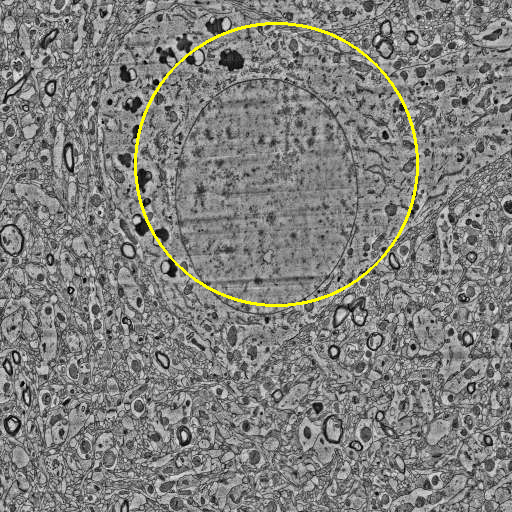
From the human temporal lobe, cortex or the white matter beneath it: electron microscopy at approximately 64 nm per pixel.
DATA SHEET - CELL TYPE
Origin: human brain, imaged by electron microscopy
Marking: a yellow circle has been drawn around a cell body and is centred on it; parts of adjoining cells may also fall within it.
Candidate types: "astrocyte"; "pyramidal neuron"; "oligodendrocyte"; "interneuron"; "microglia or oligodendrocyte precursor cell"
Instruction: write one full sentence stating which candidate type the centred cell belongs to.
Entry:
The cell body at the centre of the yellow ring in this micrograph belongs to a pyramidal neuron.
